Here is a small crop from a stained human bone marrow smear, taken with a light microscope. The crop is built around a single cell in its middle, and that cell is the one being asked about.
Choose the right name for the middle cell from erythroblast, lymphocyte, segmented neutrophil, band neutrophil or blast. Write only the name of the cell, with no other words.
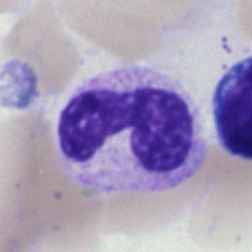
band neutrophil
